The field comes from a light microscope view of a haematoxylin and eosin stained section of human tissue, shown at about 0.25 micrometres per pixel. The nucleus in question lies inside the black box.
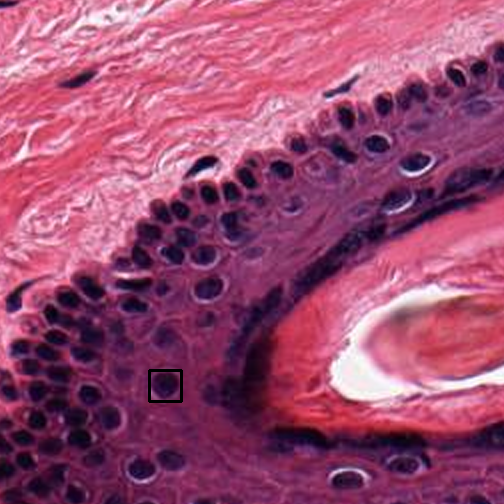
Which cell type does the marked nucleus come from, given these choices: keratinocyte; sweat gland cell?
keratinocyte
